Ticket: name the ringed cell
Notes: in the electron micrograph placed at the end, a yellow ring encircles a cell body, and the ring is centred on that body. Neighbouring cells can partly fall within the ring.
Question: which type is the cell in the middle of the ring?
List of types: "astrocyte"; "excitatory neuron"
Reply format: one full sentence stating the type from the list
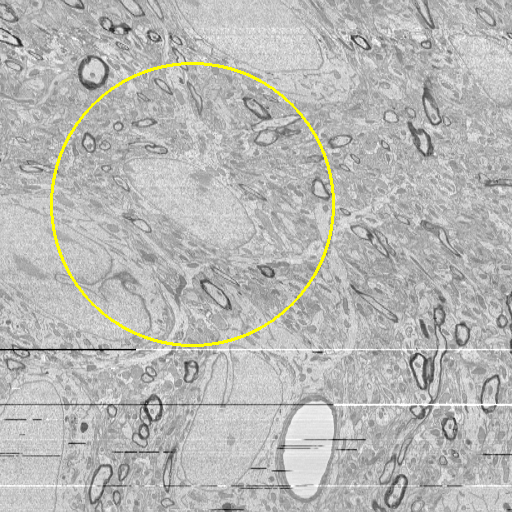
The cell sitting at the centre of the yellow ring is an astrocyte.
